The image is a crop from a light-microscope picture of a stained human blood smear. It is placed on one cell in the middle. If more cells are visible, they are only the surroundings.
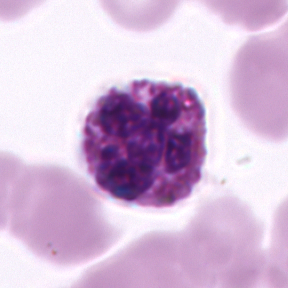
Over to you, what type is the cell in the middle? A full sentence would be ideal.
Occupying the centre of the crop is an eosinophil.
